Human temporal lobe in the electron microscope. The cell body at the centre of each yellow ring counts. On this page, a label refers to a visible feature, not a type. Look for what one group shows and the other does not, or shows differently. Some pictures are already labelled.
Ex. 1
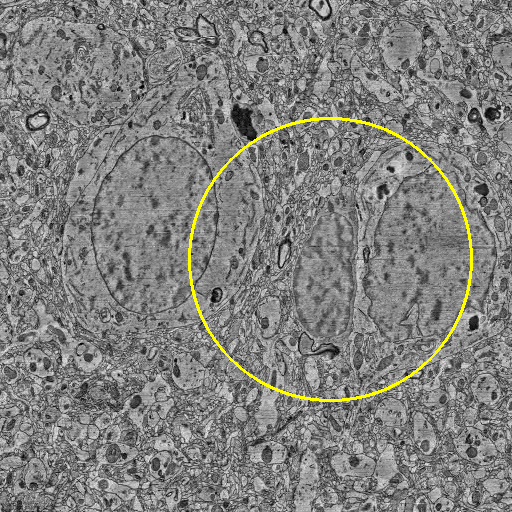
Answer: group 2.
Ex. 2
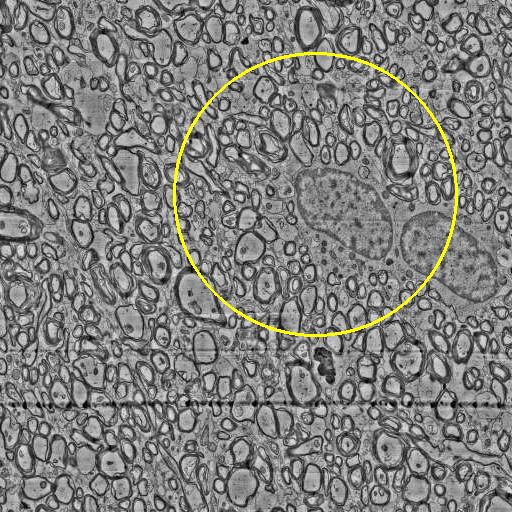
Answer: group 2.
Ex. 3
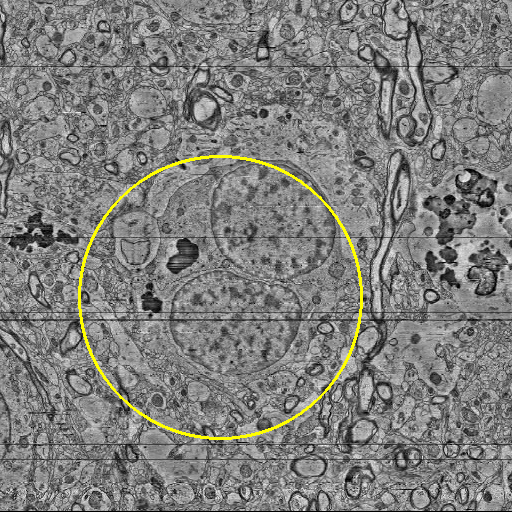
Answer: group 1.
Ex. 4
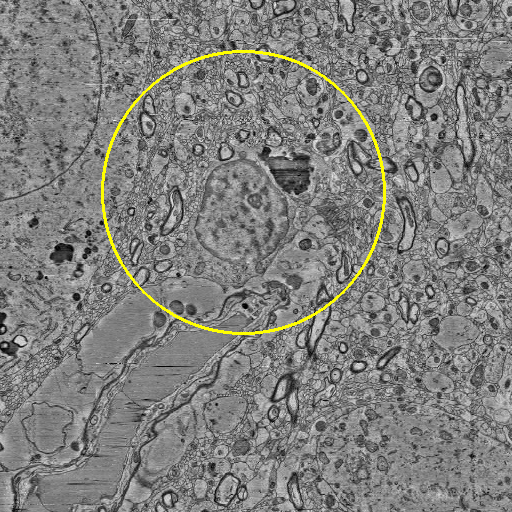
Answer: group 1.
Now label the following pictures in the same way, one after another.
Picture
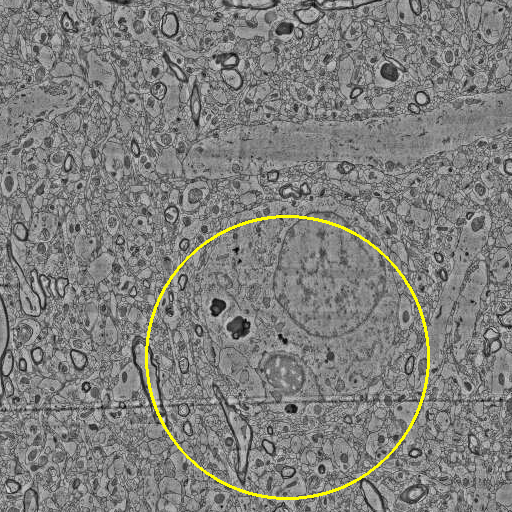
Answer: group 1.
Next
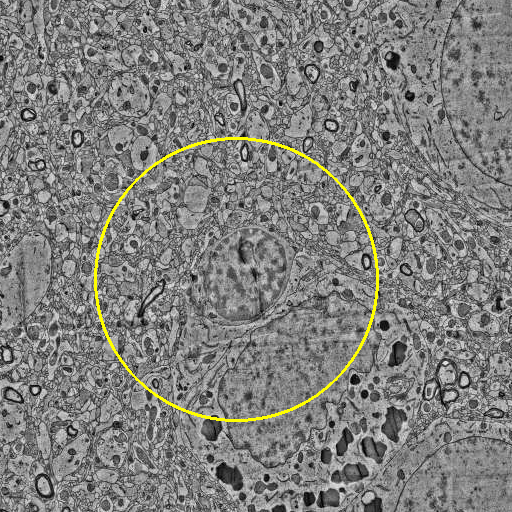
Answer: group 1.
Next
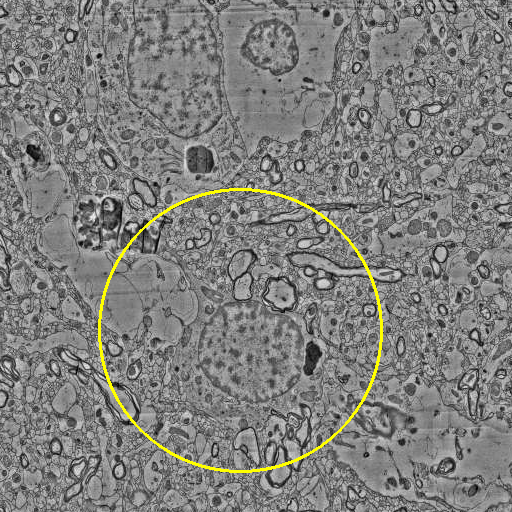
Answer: group 1.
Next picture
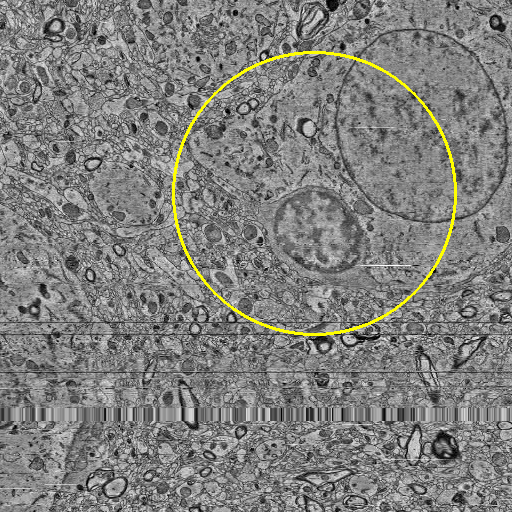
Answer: group 1.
